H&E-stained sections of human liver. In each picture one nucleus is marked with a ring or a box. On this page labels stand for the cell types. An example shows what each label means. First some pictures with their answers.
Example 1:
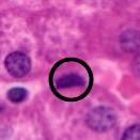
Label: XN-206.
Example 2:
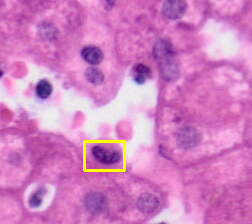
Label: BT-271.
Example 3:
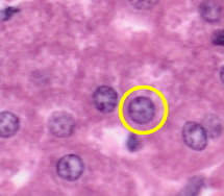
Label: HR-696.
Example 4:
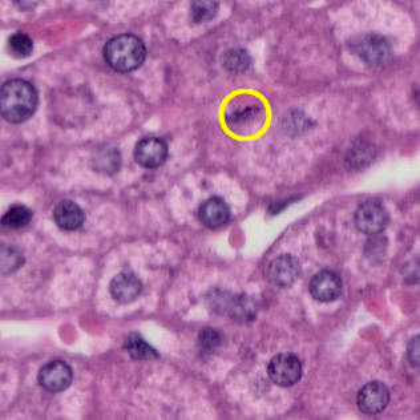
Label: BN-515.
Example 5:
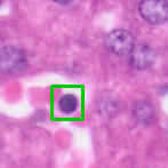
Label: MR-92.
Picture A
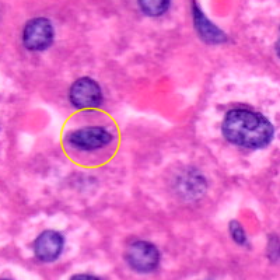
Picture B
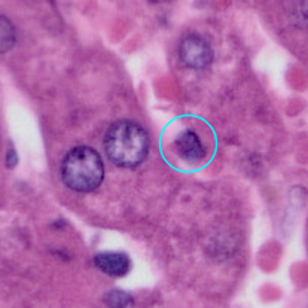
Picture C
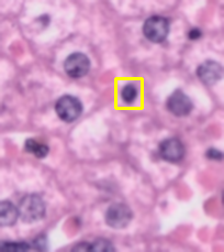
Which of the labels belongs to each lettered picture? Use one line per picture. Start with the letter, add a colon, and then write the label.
A: XN-206.
B: BN-515.
C: MR-92.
